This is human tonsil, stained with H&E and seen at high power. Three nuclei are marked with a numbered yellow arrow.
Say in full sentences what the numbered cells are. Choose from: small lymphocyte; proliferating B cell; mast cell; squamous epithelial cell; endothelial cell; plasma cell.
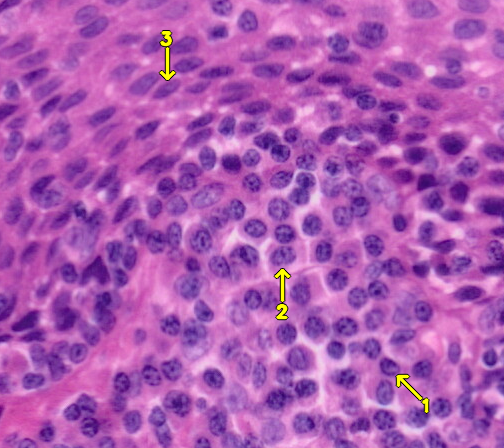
Cell 1 is a plasma cell, cell 2 is a plasma cell and cell 3 is a squamous epithelial cell.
